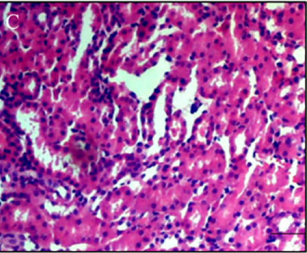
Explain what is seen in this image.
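Kidney tissue with renal tubules whose lining epithelial cells stain pink with purple nuclei. In places the epithelial lining looks broken, with cells or cell debris lying loose in the lumen, and some areas between tubules are crowded with densely packed purple nuclei. The tubular architecture is disorganised overall. This is injured renal cortex showing tubular dilation, detachment of epithelial cells from the tubule wall and necrosis.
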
